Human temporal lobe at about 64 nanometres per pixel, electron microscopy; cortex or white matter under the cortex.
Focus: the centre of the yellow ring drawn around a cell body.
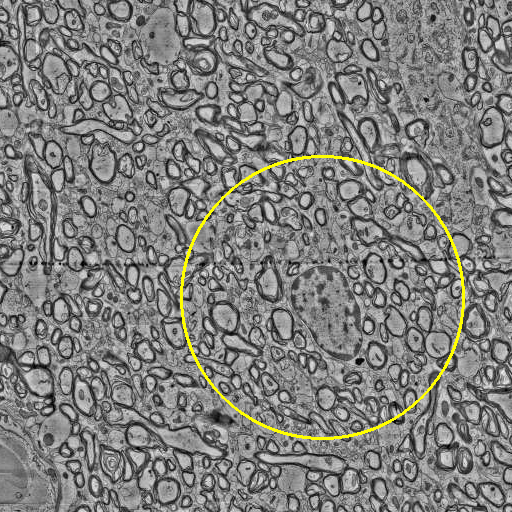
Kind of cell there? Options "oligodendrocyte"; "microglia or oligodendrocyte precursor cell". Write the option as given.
microglia or oligodendrocyte precursor cell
